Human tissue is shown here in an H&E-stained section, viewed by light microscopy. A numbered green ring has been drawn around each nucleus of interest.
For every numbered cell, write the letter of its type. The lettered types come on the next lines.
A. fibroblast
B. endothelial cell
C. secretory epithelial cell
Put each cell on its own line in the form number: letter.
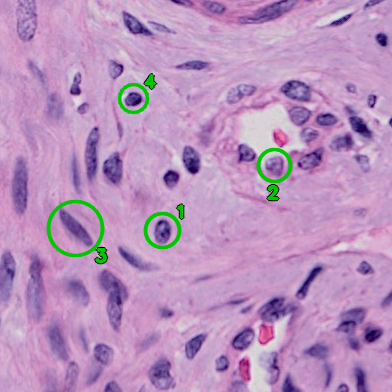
1: A
2: B
3: A
4: A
